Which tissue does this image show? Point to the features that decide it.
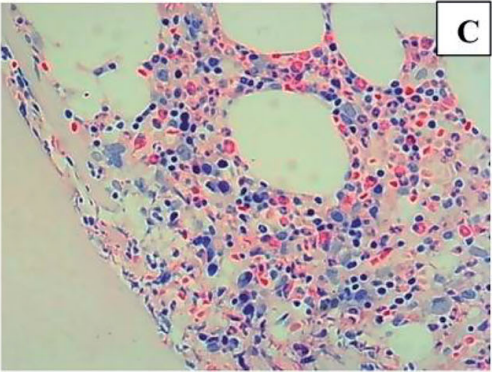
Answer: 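Large round empty fat spaces. Densely packed mixed blood-forming cells between the fat spaces. So: bone marrow tissue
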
